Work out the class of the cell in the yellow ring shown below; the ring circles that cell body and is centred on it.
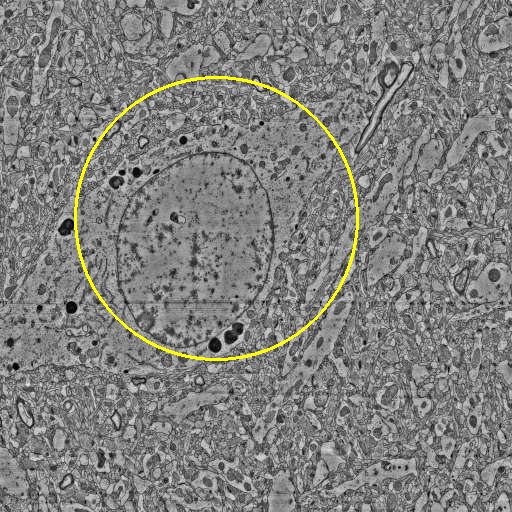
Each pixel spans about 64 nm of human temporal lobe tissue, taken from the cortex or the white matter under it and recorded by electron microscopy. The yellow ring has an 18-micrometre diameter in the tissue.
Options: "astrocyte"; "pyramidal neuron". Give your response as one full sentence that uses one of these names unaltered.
The body ringed in yellow, right at the ring's centre, is that of a pyramidal neuron.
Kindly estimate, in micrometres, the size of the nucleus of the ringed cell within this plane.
The nucleus appears roughly 13 by 10 micrometres in this plane.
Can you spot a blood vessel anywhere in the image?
No.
